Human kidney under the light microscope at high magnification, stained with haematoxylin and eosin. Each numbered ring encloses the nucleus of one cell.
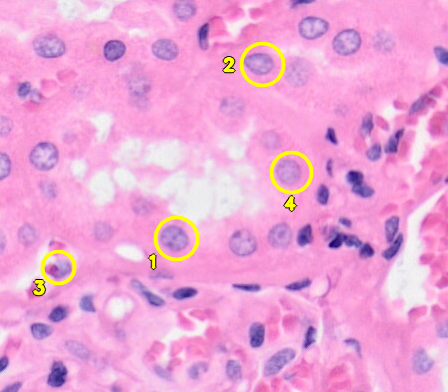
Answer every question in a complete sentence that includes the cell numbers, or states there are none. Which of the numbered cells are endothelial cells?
Among the numbered nuclei, only the one labelled 3 belongs to an endothelial cell.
